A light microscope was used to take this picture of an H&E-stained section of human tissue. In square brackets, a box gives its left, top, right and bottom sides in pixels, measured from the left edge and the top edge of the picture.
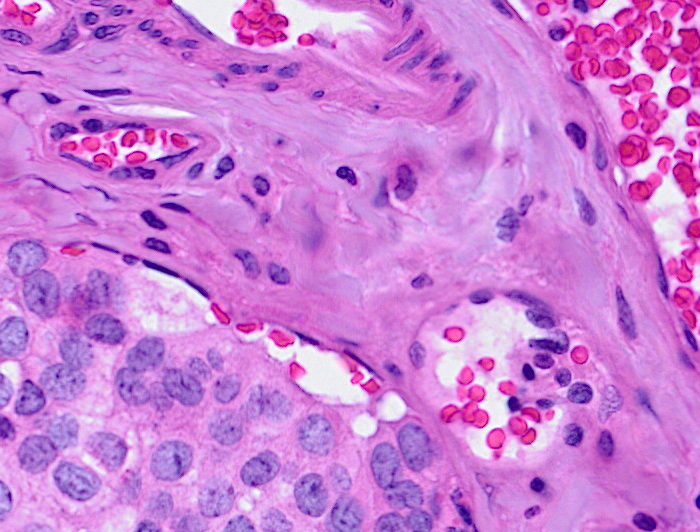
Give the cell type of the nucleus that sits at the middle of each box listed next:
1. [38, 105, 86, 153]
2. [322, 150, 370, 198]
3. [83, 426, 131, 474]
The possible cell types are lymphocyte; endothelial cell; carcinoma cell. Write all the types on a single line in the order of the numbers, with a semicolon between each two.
endothelial cell; lymphocyte; carcinoma cell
